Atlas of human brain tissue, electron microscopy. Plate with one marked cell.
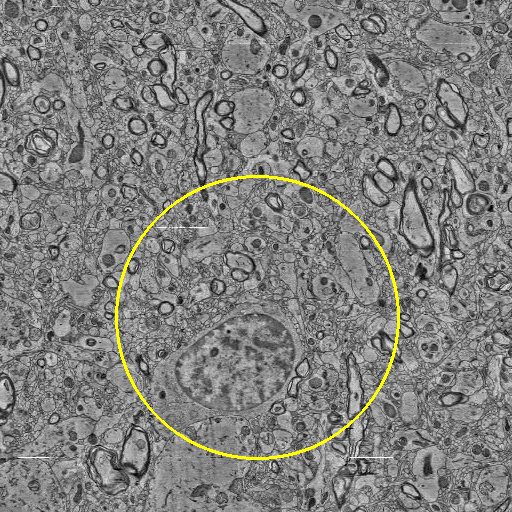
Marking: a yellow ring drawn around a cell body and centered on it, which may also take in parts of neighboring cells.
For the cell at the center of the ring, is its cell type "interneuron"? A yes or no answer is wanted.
No, its cell type is another one.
